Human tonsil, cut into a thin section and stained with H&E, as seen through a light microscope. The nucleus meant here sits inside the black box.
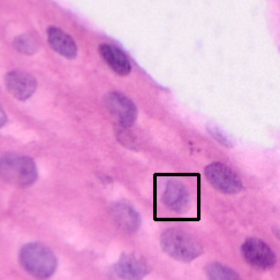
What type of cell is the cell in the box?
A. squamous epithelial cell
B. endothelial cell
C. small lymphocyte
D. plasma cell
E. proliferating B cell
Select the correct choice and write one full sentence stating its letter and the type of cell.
The correct option, A, describes the cell in the box as a squamous epithelial cell.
